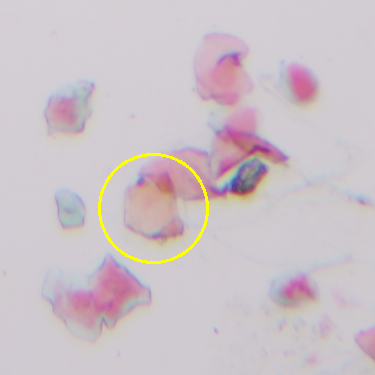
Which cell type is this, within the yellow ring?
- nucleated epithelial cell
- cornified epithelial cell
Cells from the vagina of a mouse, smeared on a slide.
Within the ring is a cornified epithelial cell.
